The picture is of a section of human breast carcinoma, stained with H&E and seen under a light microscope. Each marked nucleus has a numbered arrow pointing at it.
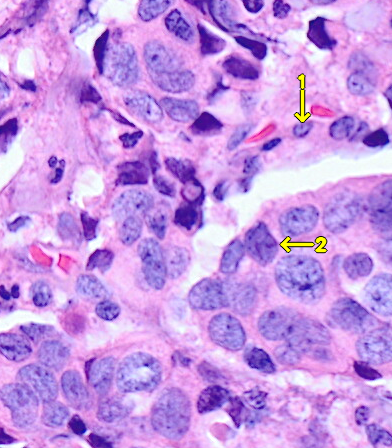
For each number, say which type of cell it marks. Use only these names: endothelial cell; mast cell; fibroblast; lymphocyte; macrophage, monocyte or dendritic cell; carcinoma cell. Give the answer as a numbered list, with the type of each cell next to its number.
1. endothelial cell
2. carcinoma cell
